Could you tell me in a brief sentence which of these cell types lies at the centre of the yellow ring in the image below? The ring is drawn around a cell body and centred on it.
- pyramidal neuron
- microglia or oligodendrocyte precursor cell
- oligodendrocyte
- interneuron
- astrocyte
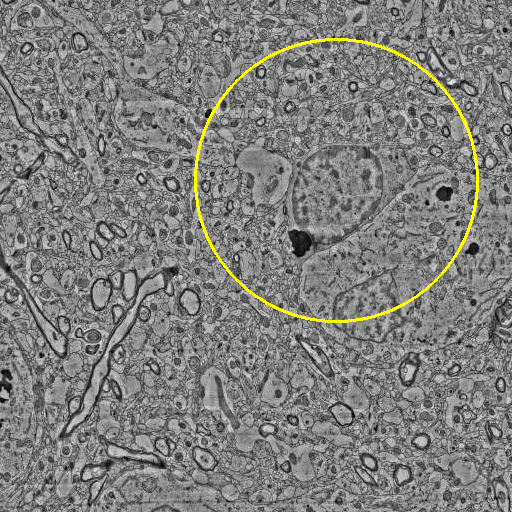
The cell centred in the ring is an oligodendrocyte.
